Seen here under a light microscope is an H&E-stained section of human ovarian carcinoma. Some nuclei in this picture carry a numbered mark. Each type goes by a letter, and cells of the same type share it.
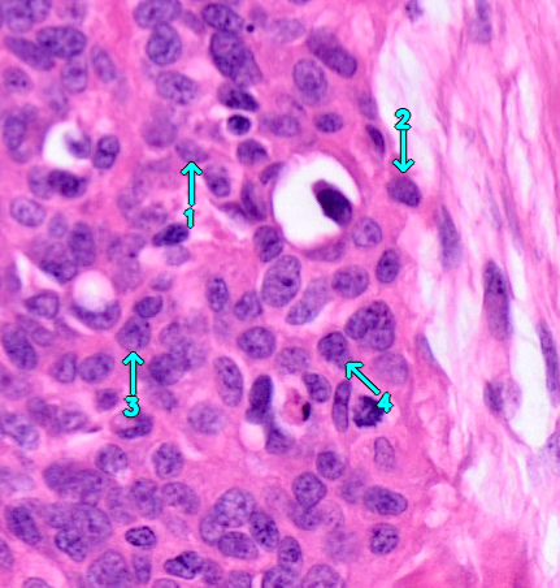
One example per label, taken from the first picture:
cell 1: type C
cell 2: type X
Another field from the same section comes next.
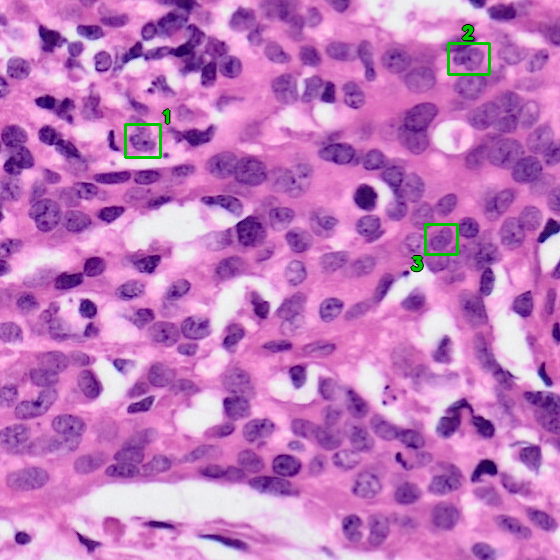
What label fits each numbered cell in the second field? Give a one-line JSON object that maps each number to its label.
{"1": "type X", "2": "type X", "3": "type C"}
